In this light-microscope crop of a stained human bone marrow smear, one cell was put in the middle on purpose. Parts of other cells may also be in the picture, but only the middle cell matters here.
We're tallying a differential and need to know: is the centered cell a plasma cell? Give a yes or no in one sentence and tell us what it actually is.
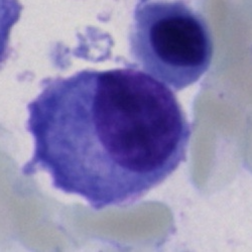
Yes, the cell in the center of this crop is a plasma cell.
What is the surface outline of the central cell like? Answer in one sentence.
Irregular rather than smooth, the cell margin shows ragged areas or projections.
